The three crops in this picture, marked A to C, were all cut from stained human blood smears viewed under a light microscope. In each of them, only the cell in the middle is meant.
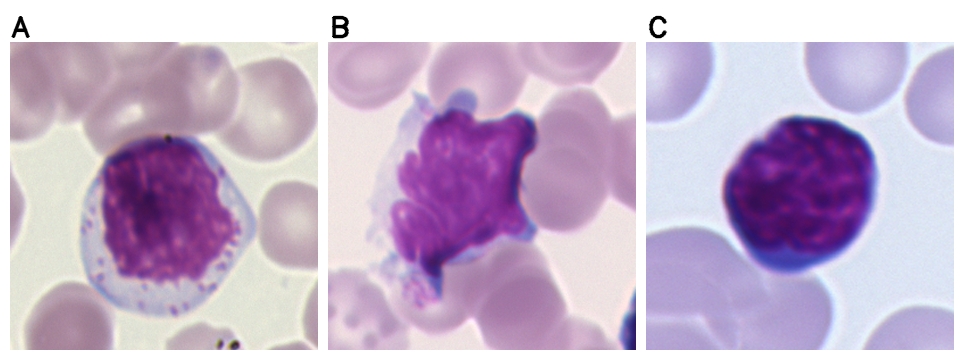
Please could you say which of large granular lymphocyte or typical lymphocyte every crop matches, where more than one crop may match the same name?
A: large granular lymphocyte
B: large granular lymphocyte
C: typical lymphocyte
